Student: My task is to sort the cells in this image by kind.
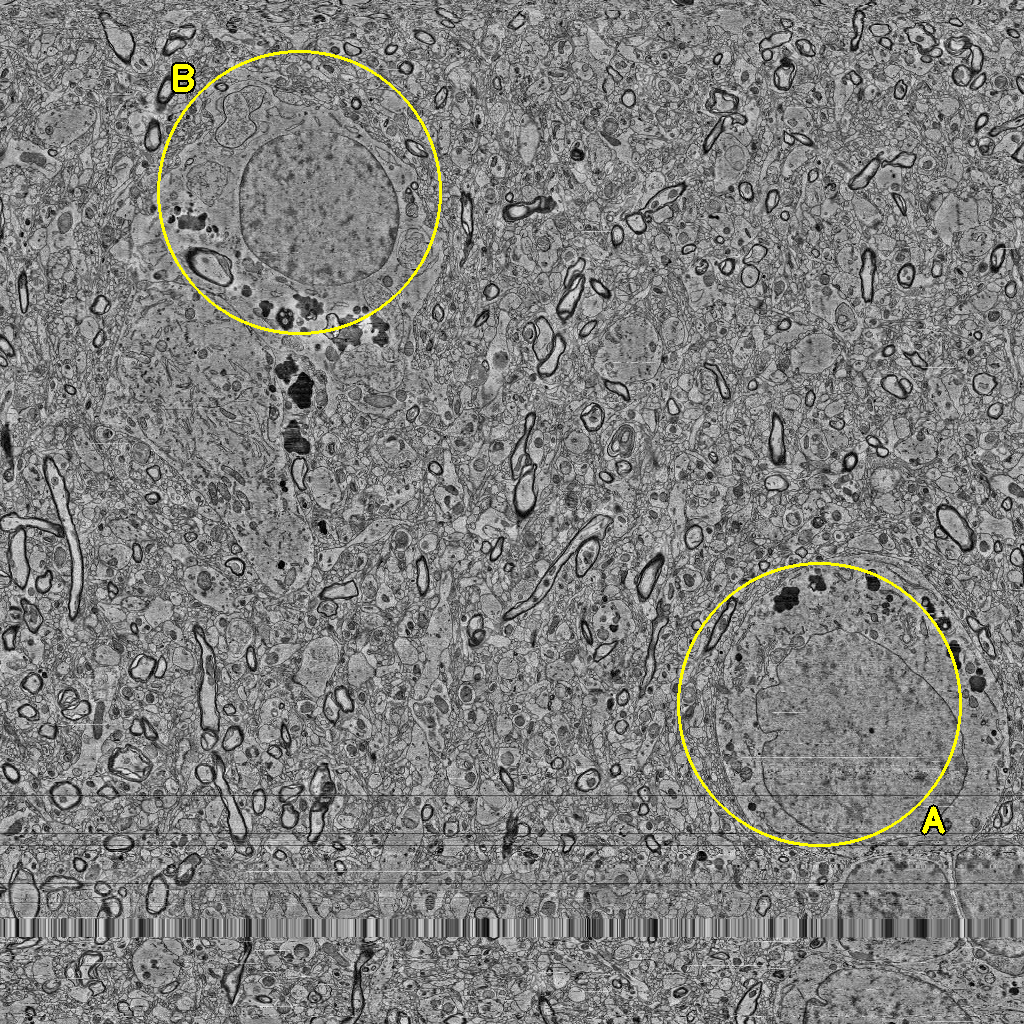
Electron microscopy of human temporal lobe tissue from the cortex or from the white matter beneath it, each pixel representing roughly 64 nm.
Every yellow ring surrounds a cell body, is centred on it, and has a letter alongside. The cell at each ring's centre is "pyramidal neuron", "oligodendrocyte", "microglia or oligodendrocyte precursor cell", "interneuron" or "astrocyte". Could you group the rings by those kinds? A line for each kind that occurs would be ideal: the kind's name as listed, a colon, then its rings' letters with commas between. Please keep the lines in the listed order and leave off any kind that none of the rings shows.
pyramidal neuron: A
astrocyte: B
